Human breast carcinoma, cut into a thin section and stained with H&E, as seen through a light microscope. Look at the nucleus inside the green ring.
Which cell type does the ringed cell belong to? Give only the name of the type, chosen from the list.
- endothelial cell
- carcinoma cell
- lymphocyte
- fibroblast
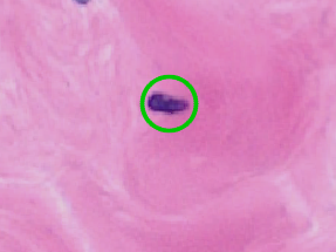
lymphocyte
